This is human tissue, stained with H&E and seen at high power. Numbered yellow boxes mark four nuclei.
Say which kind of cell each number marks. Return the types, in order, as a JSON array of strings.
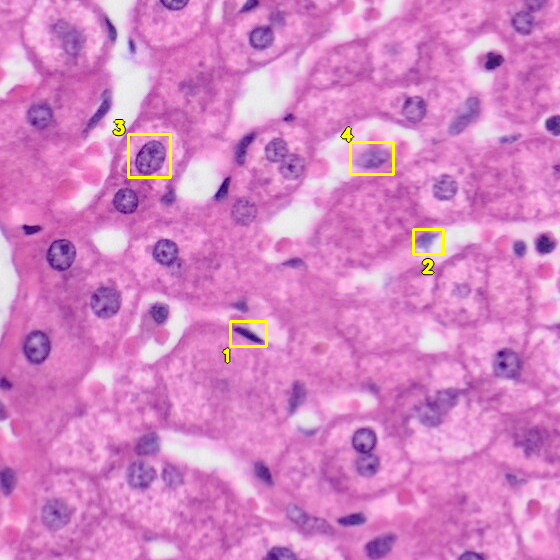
["endothelial cell", "endothelial cell", "hepatocyte", "Kupffer cell"]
